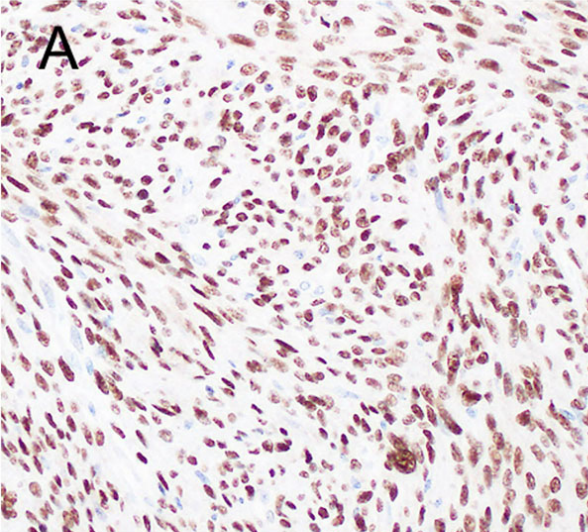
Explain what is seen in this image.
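A dense sheet of atypical spindle cells fills the field, running in interlacing fascicles. Most nuclei are stained brown, oval to elongated, with some variation in size and shape; a few are enlarged and darker. The cytoplasm is pale and ill-defined, and the cells are separated by a light fibrous background. A small number of nuclei are blue, unstained by the brown reaction. The picture is of a cellular spindle-cell proliferation whose nuclei almost all take up the brown nuclear stain.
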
